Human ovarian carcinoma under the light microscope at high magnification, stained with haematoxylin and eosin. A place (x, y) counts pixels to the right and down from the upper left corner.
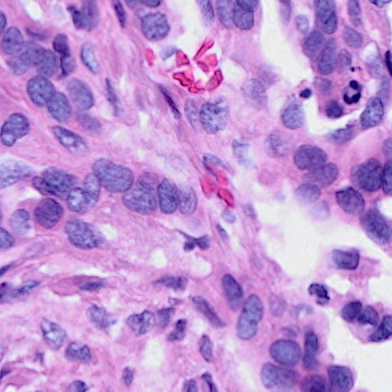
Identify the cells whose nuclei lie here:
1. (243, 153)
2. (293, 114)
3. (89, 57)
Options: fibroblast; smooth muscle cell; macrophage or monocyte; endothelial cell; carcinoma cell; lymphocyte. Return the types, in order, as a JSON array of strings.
["fibroblast", "carcinoma cell", "fibroblast"]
